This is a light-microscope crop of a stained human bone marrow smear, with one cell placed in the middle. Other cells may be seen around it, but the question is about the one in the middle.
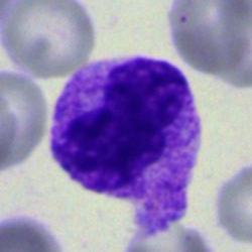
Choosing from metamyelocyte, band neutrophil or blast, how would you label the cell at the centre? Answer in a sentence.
In short, the cell at the center is a metamyelocyte.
